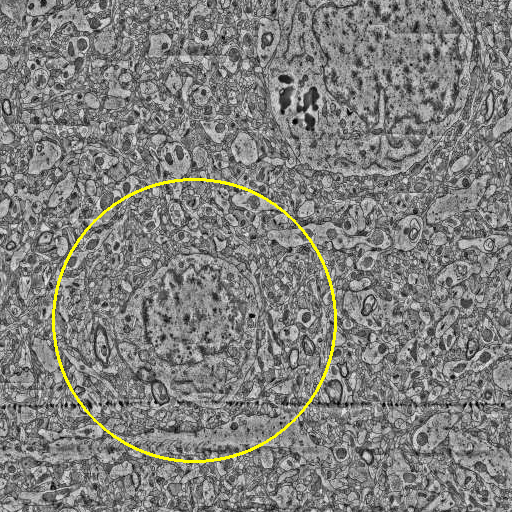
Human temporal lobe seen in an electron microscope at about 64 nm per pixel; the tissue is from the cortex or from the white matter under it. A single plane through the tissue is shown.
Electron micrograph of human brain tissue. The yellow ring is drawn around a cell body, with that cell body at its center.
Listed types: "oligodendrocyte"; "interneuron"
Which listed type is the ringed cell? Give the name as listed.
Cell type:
interneuron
